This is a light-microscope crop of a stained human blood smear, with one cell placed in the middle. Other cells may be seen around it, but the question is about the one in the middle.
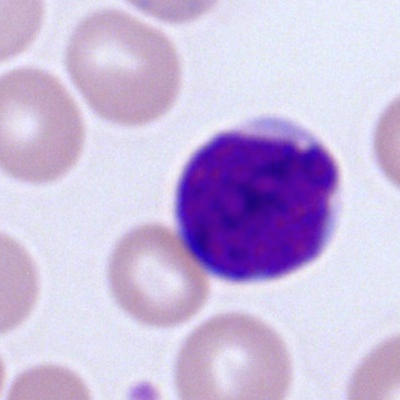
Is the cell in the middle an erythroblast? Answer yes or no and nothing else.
no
